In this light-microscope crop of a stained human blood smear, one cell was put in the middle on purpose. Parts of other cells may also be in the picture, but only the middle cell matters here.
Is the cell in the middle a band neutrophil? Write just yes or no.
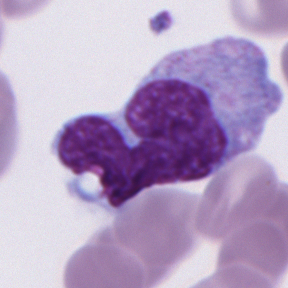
no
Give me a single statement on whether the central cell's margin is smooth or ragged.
Not smooth, the outline of the cell is ragged or drawn out into projections.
